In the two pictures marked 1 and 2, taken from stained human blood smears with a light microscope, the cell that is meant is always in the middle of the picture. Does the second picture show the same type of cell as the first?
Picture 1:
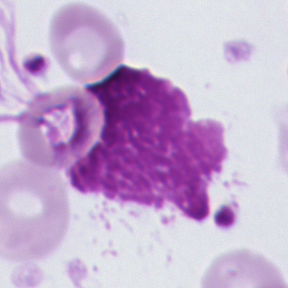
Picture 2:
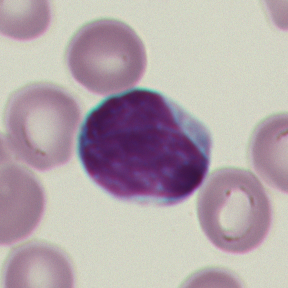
no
